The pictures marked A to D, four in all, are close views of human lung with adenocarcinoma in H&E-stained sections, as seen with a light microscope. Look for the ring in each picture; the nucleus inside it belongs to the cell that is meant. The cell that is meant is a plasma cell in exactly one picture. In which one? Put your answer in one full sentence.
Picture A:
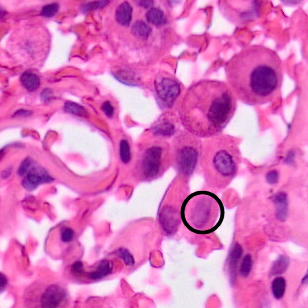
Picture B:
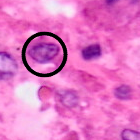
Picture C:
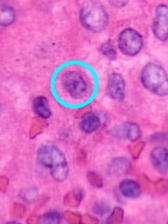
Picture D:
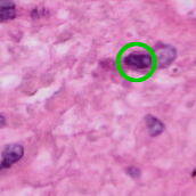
Picture D shows the plasma cell.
